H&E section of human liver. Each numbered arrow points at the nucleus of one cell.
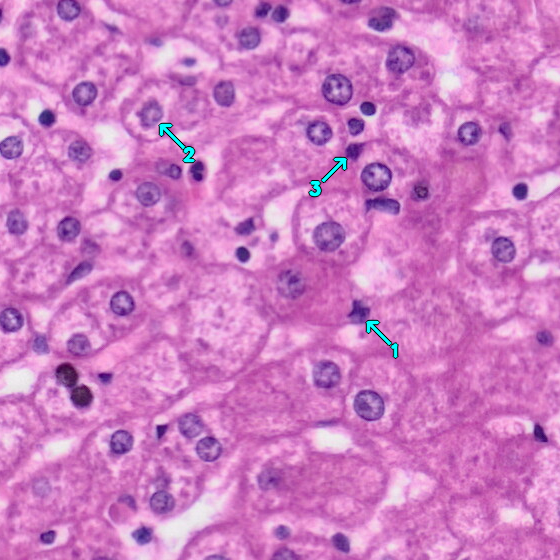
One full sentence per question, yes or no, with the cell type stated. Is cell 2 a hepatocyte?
Yes, the cell whose nucleus carries number 2 is a hepatocyte.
